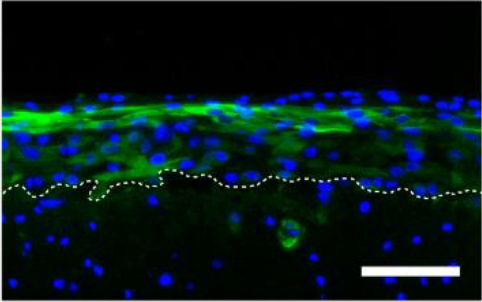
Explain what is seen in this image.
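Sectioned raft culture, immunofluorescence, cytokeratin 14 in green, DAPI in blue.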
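A stratified epidermis several cells thick lies above a white dashed line that separates it from the dermis below. Green fluorescence fills the cytoplasm of cells through much of the epithelium, brightest in elongated, flattened cells, while blue nuclei crowd all its layers. Below the line the dermis is dark, with scattered blue nuclei of isolated cells and a small green-rimmed cell. The boundary undulates gently across the field.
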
